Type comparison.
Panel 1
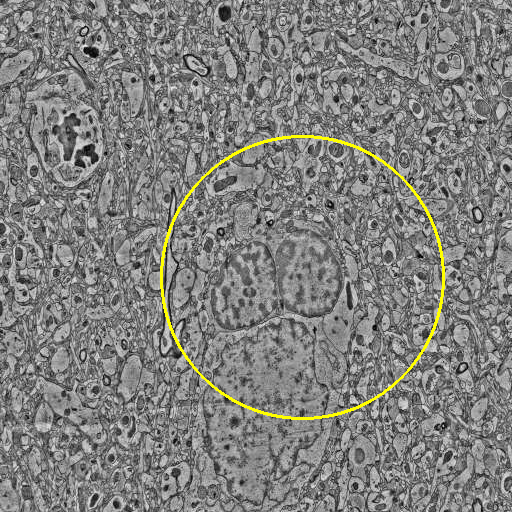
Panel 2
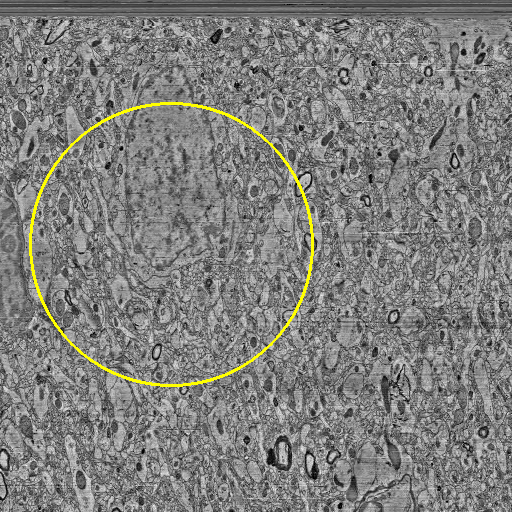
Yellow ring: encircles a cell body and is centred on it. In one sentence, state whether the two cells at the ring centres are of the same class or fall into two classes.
In these panels, the two cells at the ring centres fall into two classes.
